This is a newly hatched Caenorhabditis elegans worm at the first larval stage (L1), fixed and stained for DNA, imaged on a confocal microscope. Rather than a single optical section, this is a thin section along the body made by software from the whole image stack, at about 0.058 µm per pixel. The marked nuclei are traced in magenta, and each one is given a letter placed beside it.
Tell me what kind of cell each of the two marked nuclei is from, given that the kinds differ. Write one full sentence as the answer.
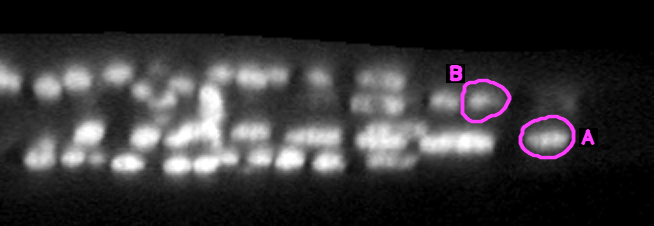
A is from a pharyngeal epithelial cell, and B is from a pharyngeal muscle cell.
